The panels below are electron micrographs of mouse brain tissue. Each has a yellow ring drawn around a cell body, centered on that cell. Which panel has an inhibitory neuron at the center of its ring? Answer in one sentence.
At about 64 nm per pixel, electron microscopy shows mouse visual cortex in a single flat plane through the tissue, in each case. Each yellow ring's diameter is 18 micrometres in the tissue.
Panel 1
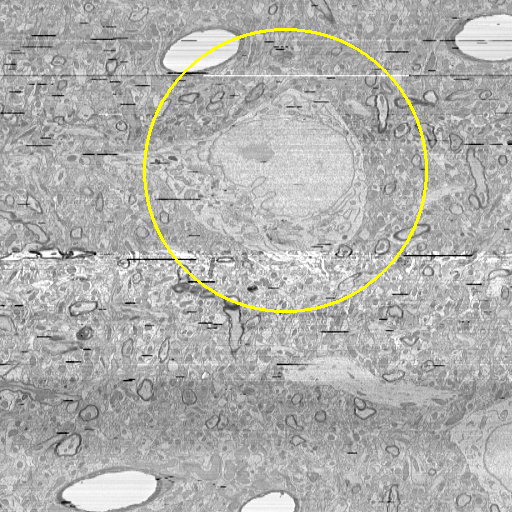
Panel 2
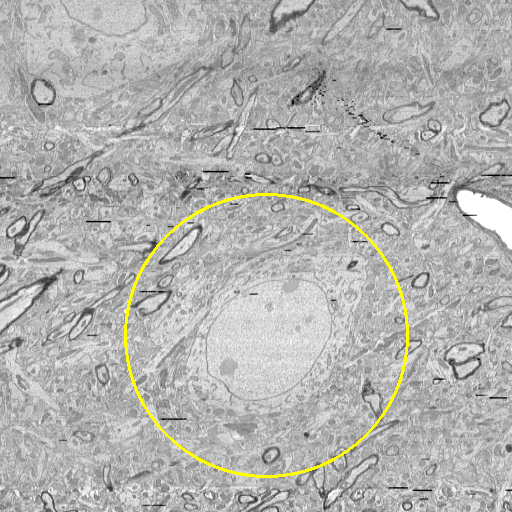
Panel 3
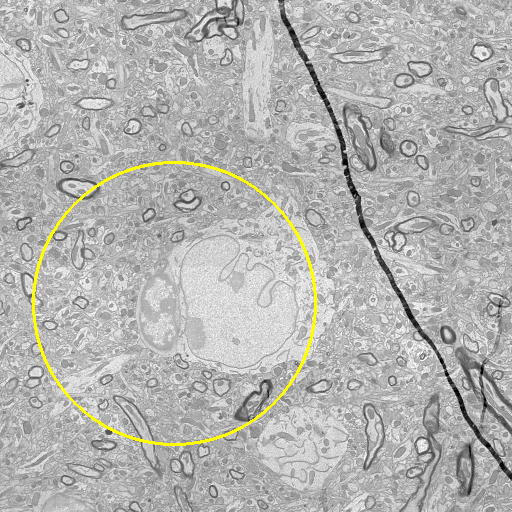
Panel 1 has it at the center of its ring.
